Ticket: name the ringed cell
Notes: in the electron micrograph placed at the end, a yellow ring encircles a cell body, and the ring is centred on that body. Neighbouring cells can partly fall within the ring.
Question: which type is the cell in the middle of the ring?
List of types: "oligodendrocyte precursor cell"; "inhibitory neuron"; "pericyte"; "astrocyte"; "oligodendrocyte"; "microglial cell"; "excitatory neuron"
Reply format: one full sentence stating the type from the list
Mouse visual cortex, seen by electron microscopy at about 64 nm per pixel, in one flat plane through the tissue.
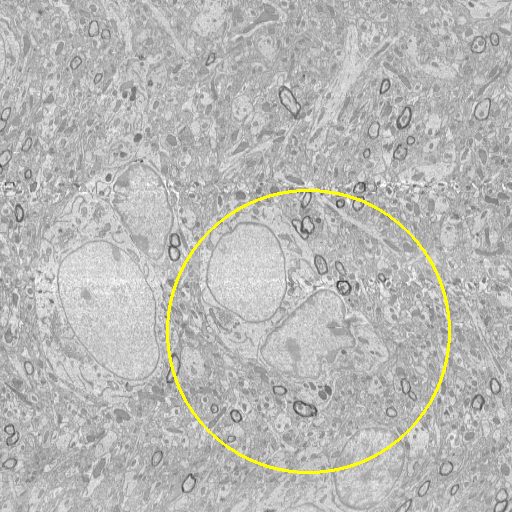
The cell sitting at the centre of the yellow ring is an oligodendrocyte precursor cell.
